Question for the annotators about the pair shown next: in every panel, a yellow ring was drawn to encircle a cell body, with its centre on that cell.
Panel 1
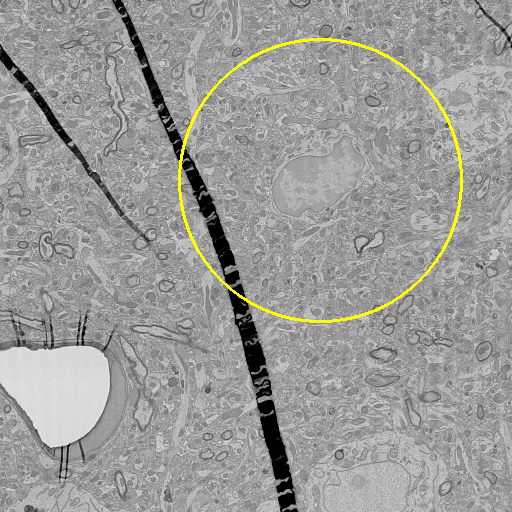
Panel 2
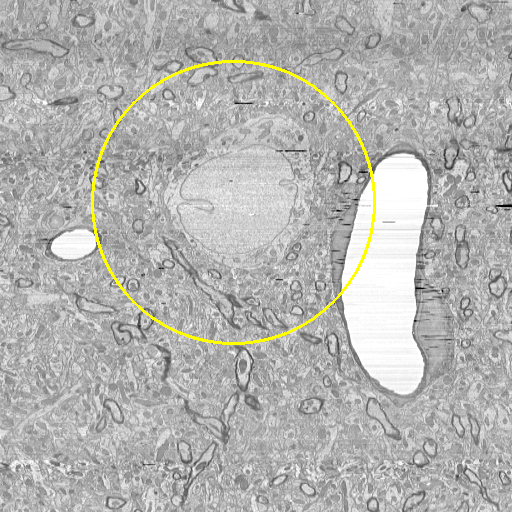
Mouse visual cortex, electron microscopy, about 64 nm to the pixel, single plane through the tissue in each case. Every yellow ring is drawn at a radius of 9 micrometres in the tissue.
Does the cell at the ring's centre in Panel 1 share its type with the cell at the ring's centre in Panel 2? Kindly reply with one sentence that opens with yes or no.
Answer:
No, in Panels 1 and 2 the cells at the ring centres belong to separate types.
